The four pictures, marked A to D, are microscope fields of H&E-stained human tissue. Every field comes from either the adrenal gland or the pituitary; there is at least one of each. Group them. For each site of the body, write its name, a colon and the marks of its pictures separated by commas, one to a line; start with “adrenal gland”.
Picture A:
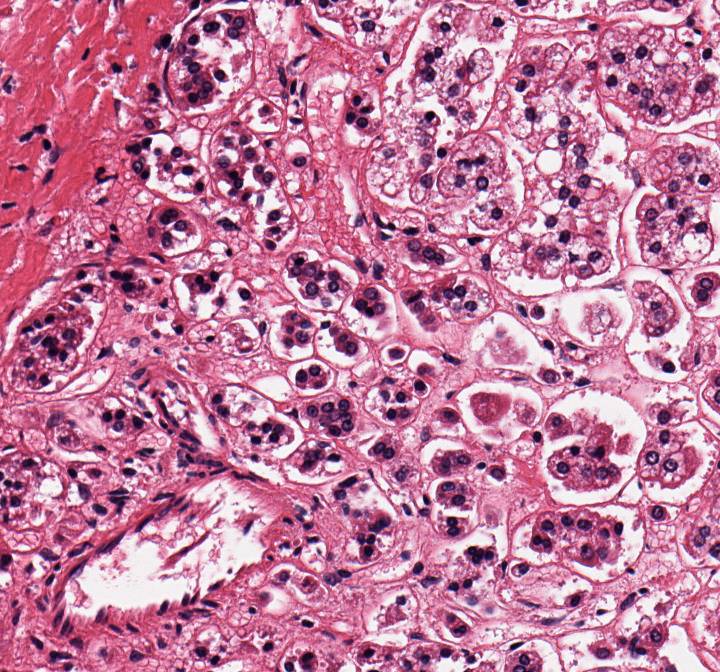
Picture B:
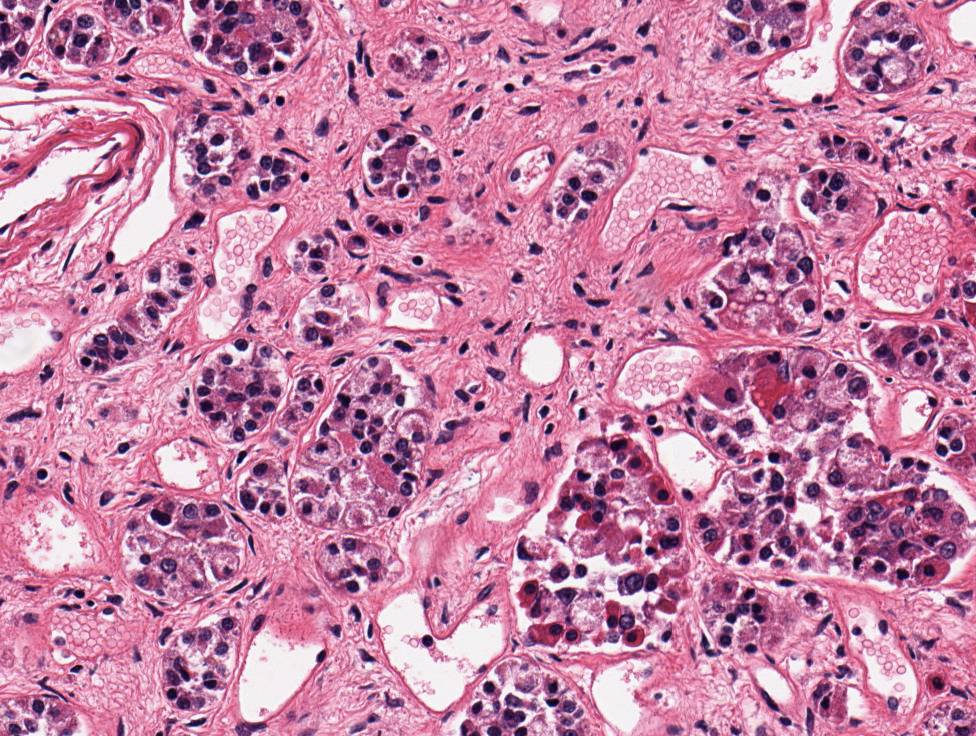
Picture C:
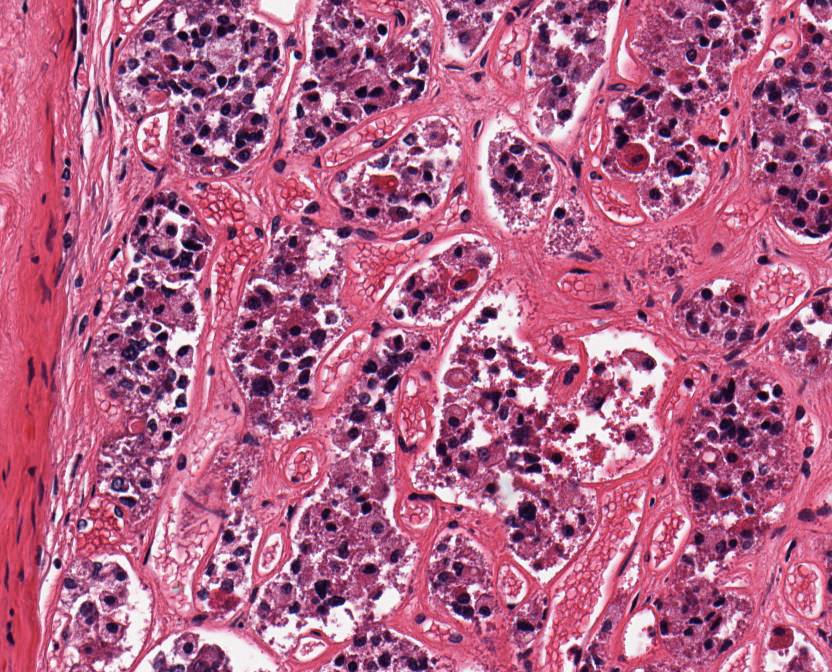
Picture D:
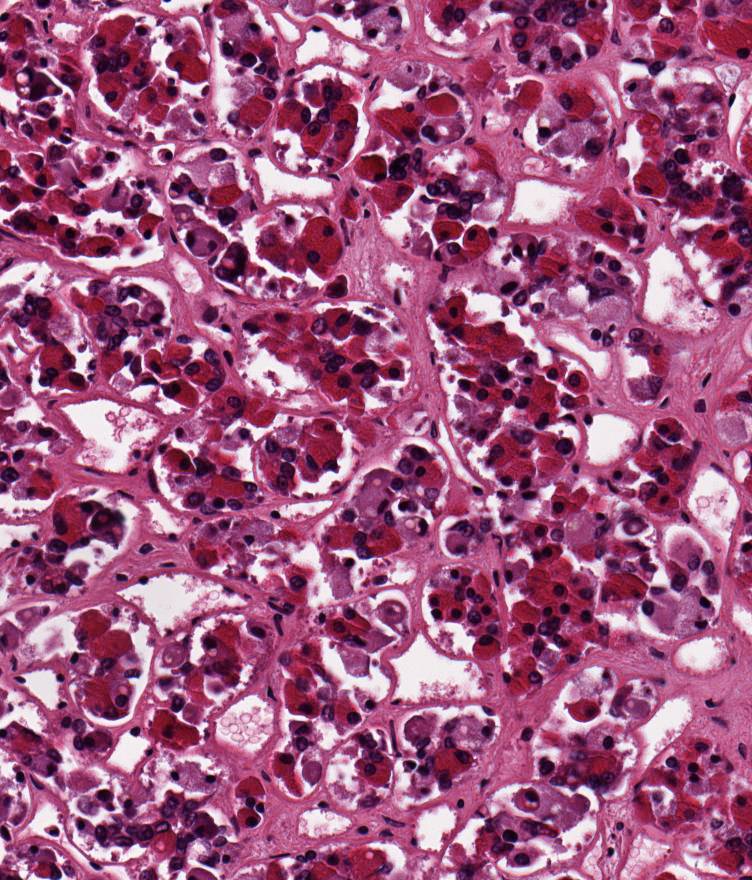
adrenal gland: A
pituitary: B, C, D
